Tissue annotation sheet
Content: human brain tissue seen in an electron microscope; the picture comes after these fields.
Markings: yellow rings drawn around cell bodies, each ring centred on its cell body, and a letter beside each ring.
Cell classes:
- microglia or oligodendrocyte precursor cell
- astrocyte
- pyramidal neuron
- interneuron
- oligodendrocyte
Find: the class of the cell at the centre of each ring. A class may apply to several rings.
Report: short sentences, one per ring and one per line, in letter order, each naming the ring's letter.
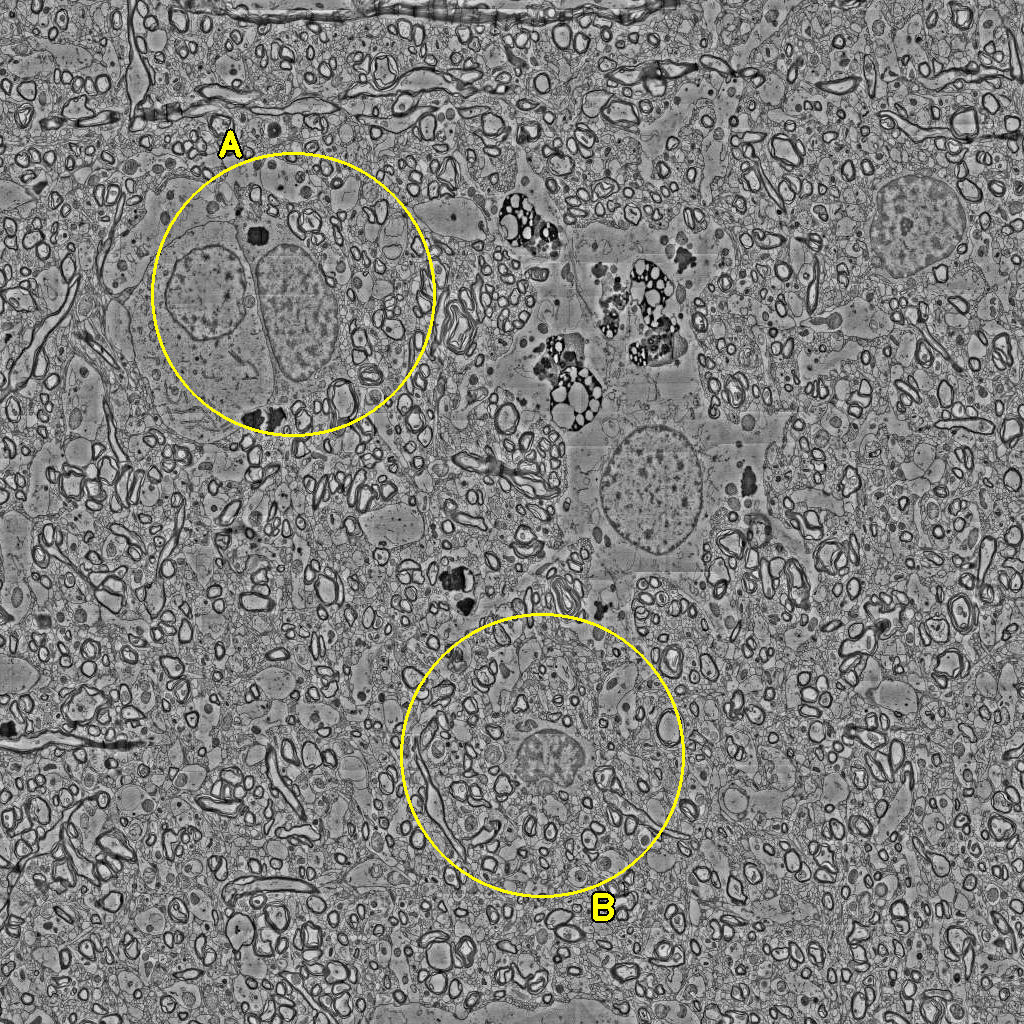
Ring A holds an oligodendrocyte at its centre.
Ring B holds an oligodendrocyte at its centre.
